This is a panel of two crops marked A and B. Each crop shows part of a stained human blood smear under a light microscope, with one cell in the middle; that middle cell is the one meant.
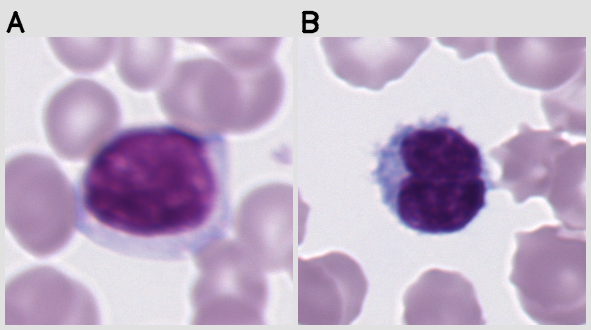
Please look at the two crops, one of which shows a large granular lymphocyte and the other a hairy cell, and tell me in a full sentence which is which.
The cell at the centre of crop A is a large granular lymphocyte, and at the centre of crop B, a hairy cell.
